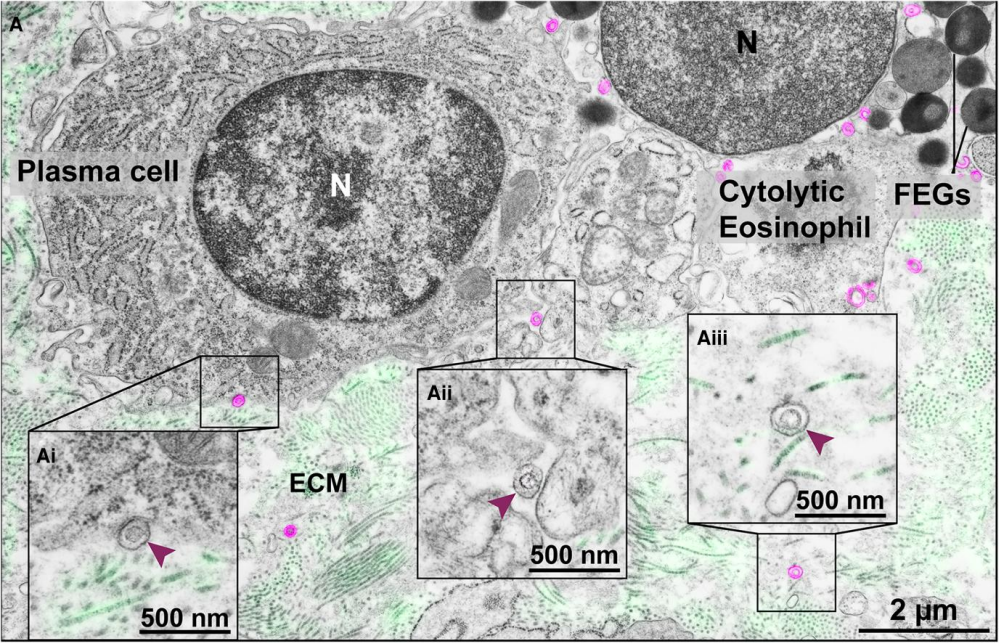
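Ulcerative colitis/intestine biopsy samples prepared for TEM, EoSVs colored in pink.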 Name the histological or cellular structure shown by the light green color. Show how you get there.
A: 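Light green elements lie in the space between the cells. They appear as long parallel bundles in some places and as clusters of small dots in others.
Collagen fibrils.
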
